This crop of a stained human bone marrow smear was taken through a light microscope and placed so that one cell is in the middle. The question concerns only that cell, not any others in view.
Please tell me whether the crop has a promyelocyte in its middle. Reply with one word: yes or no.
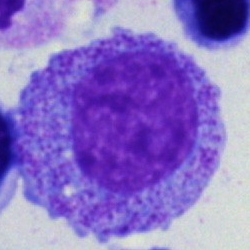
yes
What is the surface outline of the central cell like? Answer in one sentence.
This cell has an uneven outline, either ragged or bearing projections.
